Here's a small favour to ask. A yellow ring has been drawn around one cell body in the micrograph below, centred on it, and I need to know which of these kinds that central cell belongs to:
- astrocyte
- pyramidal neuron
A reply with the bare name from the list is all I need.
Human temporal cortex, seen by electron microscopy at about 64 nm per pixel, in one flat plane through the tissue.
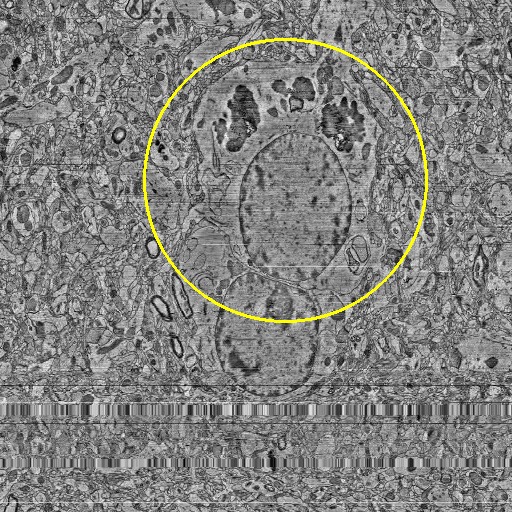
astrocyte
